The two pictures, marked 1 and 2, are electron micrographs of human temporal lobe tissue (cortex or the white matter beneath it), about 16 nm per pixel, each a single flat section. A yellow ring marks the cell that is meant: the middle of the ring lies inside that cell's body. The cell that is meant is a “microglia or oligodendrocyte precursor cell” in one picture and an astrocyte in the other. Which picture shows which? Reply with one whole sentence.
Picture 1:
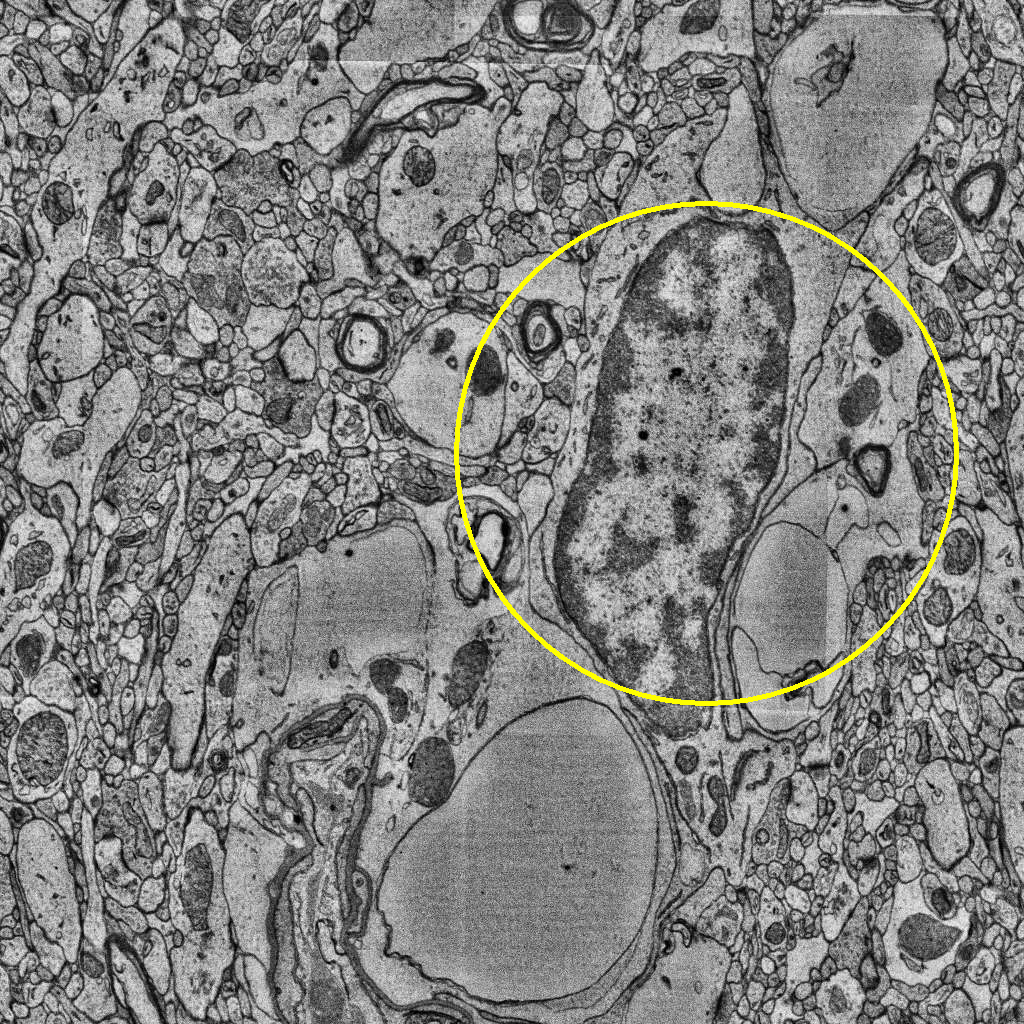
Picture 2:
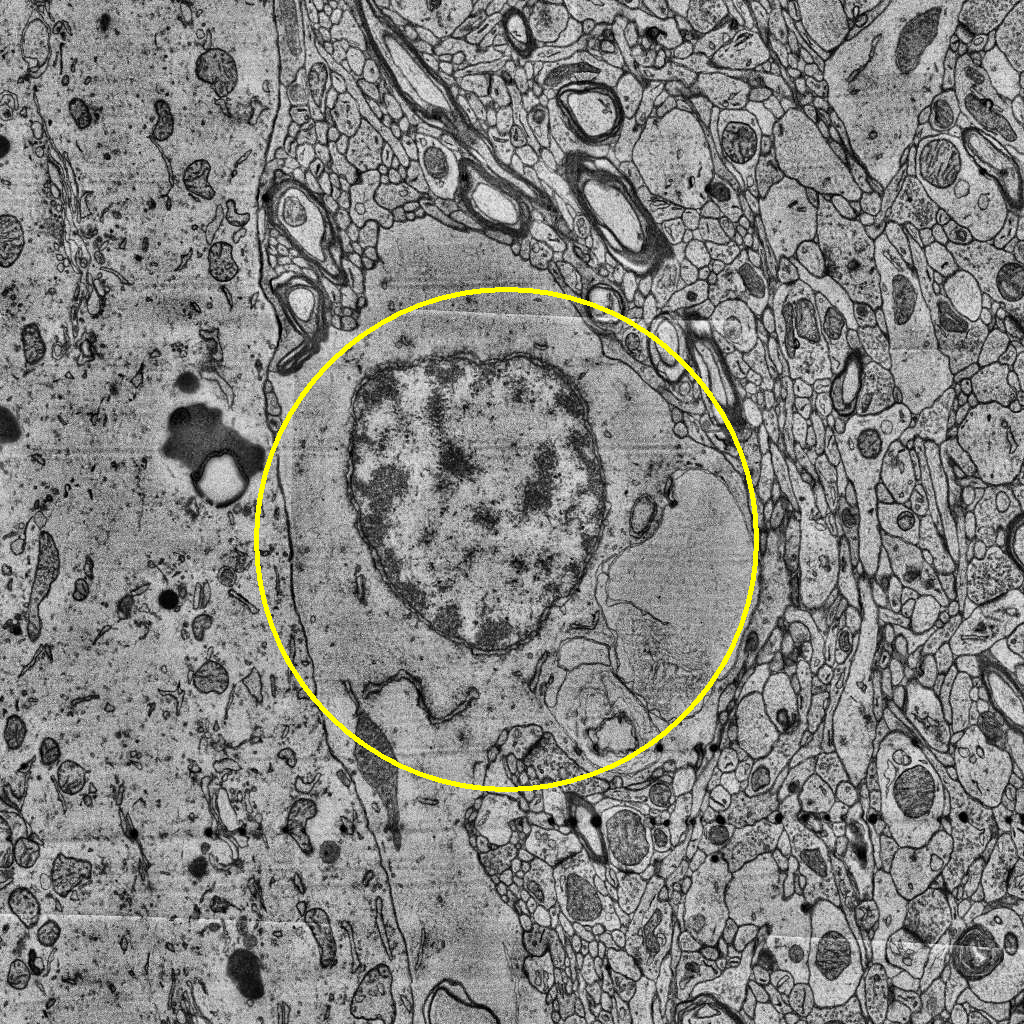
In picture 1 the cell is a “microglia or oligodendrocyte precursor cell”; in picture 2, an astrocyte.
